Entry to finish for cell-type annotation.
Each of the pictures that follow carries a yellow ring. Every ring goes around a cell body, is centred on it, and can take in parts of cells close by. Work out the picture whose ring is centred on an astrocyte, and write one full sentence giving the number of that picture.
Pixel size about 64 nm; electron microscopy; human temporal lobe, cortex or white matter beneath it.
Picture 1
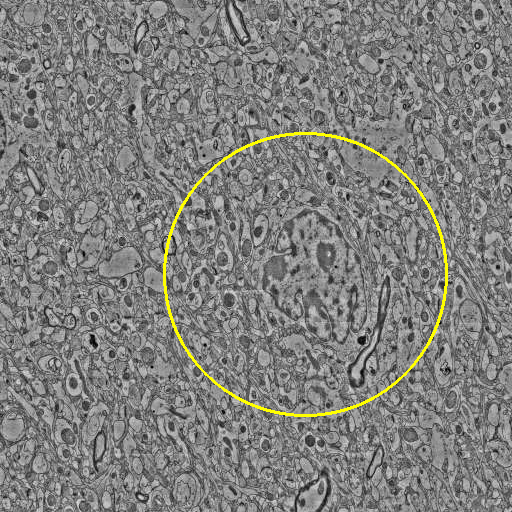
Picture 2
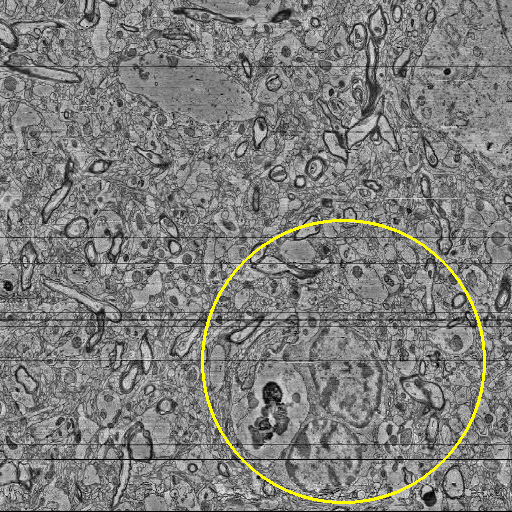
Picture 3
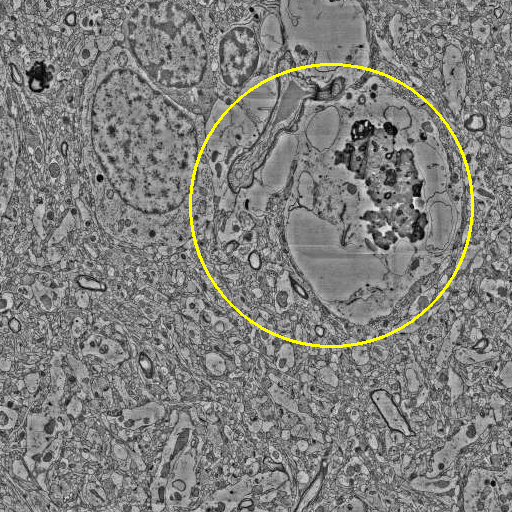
The cell at the heart of the ring in picture 3 matches the request.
